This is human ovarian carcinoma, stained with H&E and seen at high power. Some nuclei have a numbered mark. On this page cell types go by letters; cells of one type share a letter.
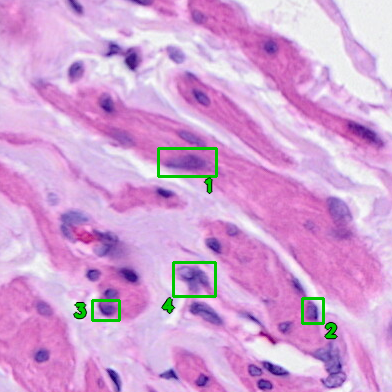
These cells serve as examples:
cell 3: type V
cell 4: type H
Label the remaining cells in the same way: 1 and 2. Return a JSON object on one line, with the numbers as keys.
{"1": "type V", "2": "type V"}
